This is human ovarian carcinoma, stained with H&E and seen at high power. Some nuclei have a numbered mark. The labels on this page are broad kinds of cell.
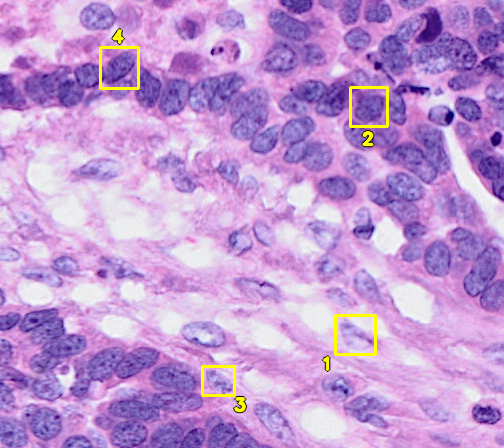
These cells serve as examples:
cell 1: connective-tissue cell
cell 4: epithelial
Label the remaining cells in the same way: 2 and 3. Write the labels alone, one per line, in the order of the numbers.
epithelial
connective-tissue cell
